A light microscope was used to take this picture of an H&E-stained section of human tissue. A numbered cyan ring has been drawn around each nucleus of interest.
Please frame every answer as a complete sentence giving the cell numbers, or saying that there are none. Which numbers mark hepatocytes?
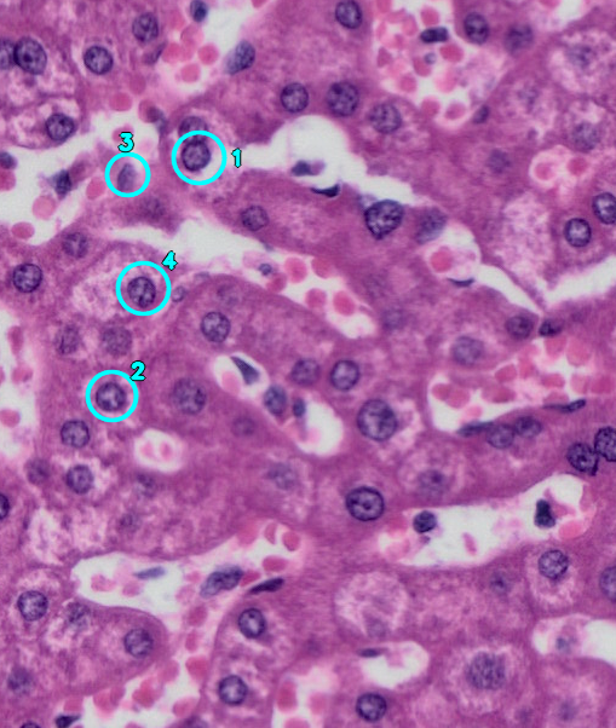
The cells labelled 1, 2 and 4 in this section are hepatocytes.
